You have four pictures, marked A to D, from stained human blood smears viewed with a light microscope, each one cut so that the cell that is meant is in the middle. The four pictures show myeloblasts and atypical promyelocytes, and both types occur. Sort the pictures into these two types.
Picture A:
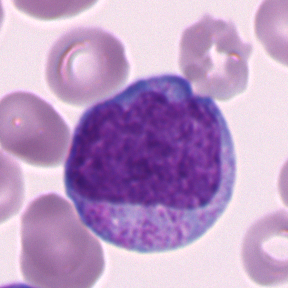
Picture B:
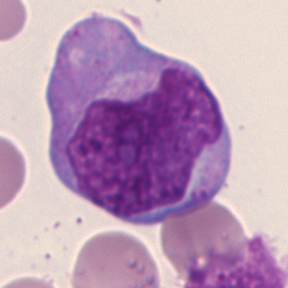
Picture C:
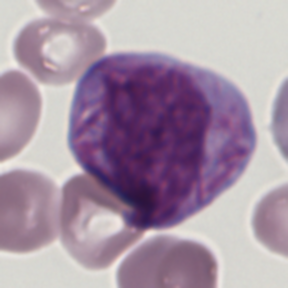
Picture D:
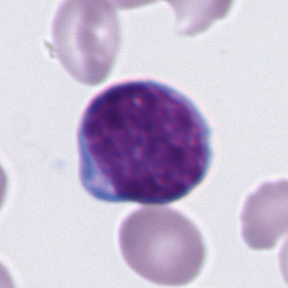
A: atypical promyelocyte
B: atypical promyelocyte
C: atypical promyelocyte
D: myeloblast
